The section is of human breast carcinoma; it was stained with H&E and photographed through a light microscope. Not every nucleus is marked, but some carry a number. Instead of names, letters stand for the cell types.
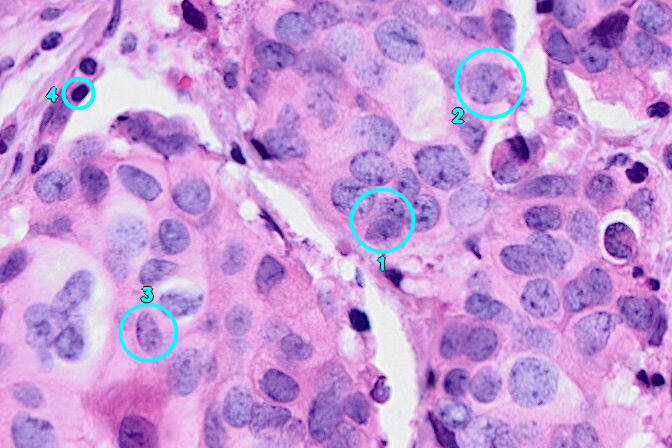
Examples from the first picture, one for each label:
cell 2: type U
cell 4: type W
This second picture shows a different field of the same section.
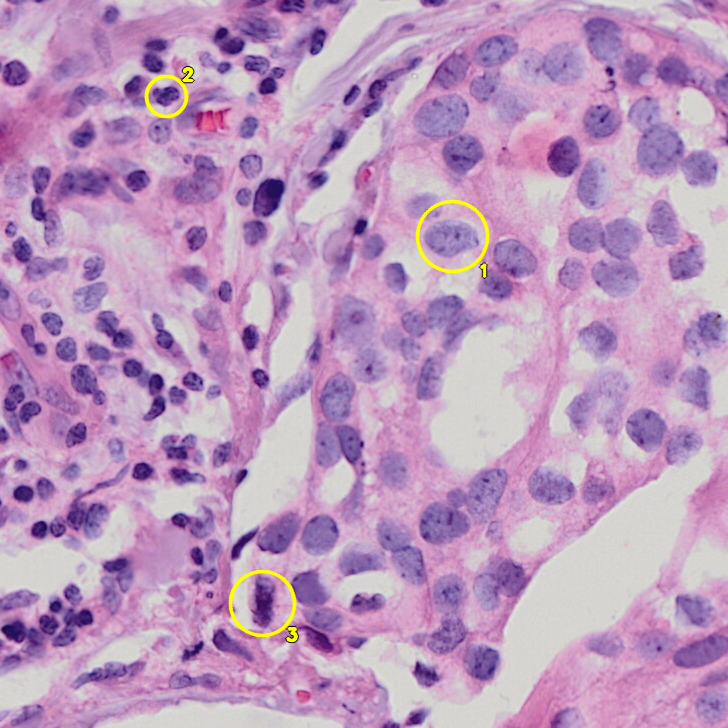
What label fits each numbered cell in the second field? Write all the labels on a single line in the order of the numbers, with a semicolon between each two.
type U; type W; type U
